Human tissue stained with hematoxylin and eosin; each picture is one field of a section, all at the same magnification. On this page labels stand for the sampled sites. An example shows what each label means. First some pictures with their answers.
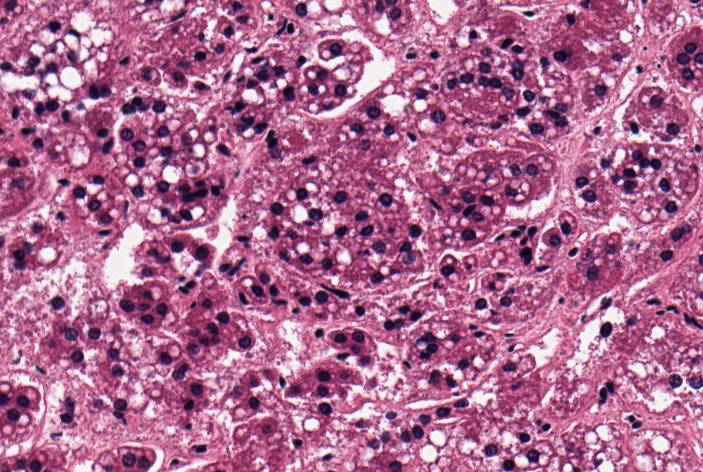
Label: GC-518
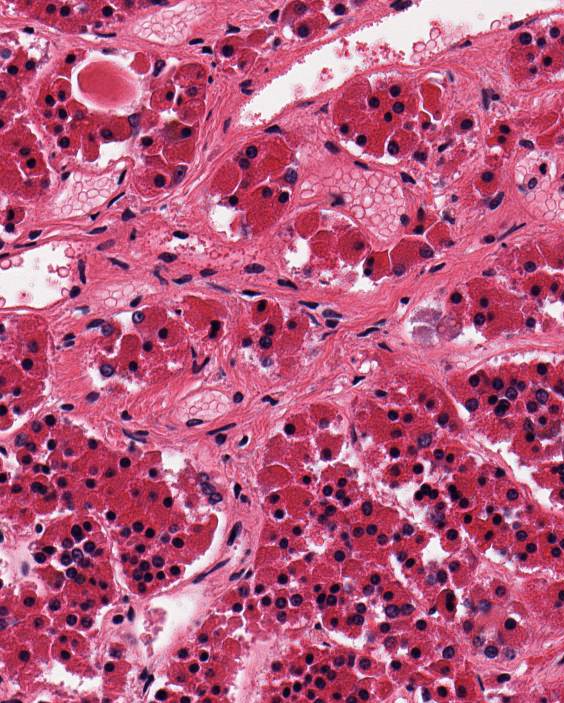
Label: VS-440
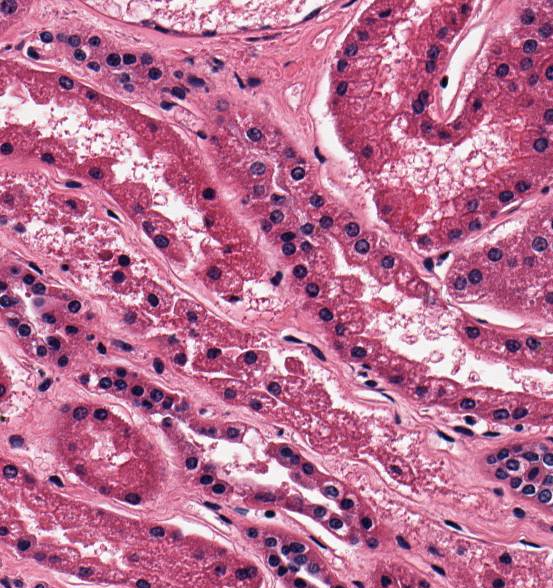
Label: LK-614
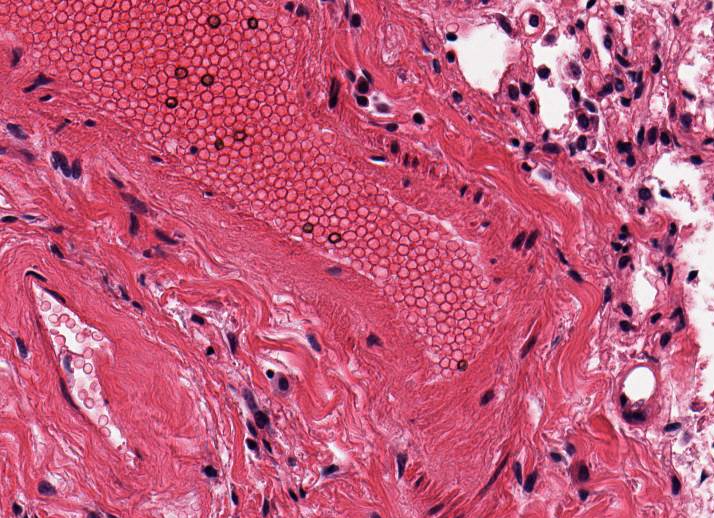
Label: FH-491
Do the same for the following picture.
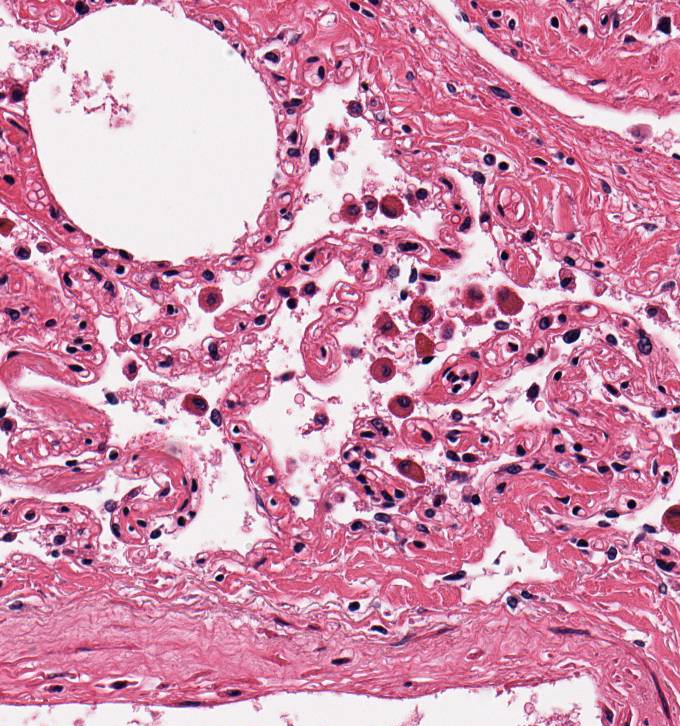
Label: FH-491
